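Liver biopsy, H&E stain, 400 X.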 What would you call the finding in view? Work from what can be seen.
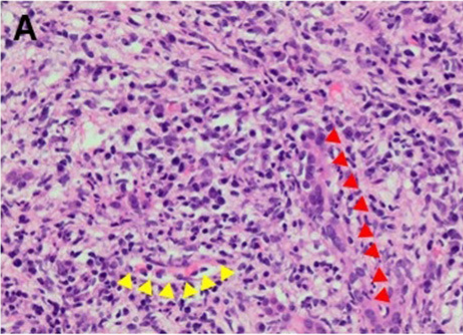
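Mixed inflammatory infiltrate. The field is densely packed with small round cells with dark nuclei. Some cells have eccentric nuclei and more pink cytoplasm.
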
